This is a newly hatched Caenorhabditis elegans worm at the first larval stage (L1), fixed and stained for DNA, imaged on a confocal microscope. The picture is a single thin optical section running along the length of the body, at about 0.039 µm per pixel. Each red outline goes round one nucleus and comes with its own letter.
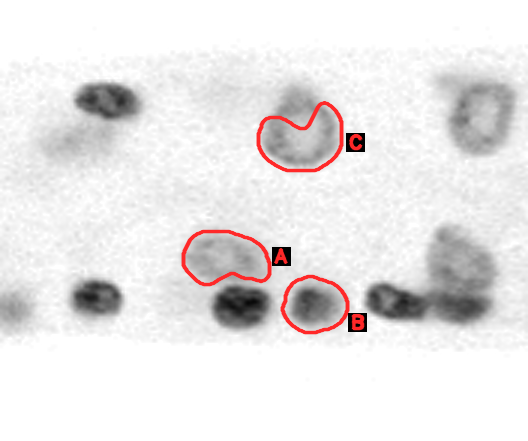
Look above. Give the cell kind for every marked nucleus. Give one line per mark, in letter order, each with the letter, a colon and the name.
A: intestinal cell
B: neuron
C: intestinal cell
